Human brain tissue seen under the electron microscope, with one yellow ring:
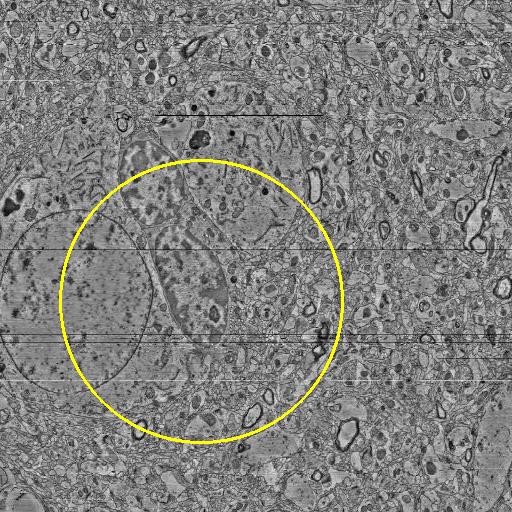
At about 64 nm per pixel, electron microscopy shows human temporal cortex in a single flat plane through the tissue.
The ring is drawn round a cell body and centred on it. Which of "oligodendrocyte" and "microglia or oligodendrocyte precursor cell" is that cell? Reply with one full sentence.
The picture shows an oligodendrocyte at the very centre of the yellow ring.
